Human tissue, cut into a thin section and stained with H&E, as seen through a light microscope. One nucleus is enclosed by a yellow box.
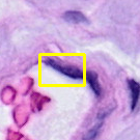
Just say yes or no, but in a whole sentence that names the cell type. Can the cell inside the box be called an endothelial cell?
Yes, the cell inside the box is correctly named as an endothelial cell.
